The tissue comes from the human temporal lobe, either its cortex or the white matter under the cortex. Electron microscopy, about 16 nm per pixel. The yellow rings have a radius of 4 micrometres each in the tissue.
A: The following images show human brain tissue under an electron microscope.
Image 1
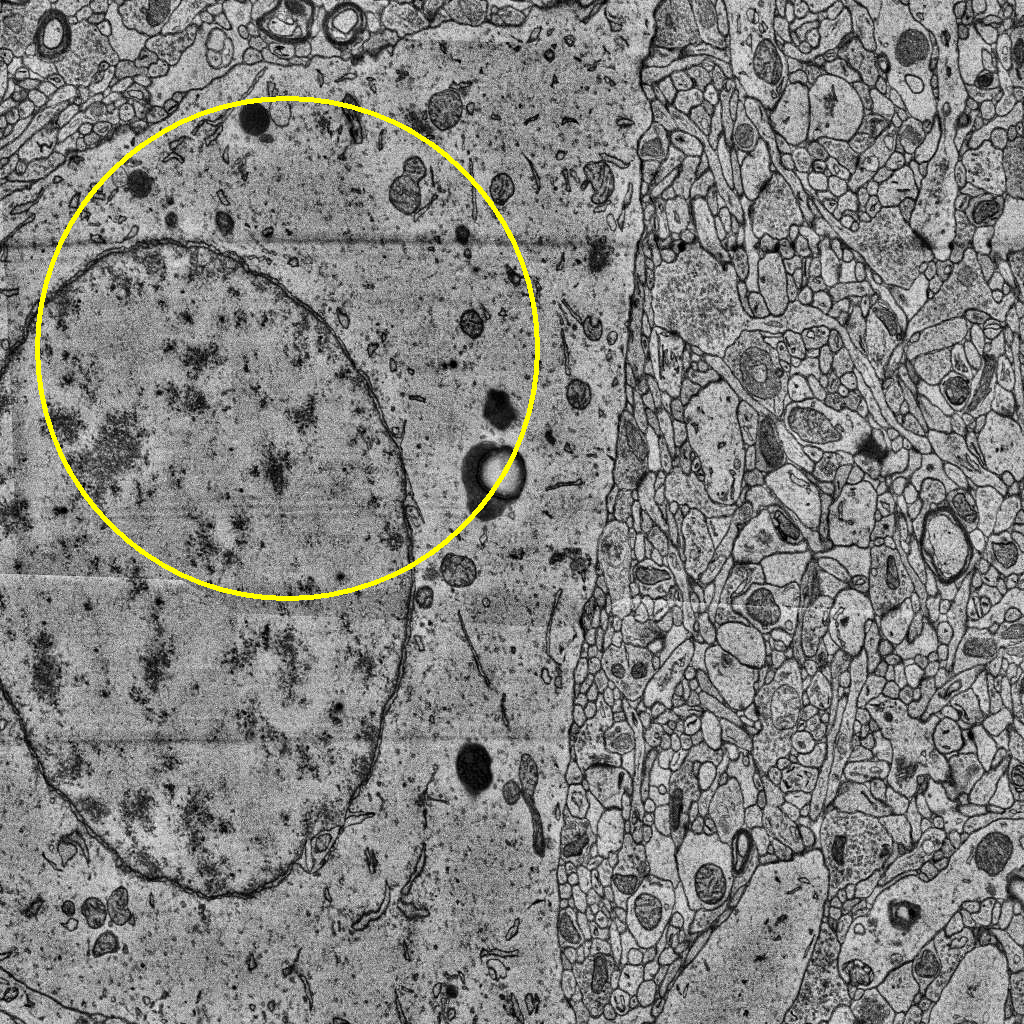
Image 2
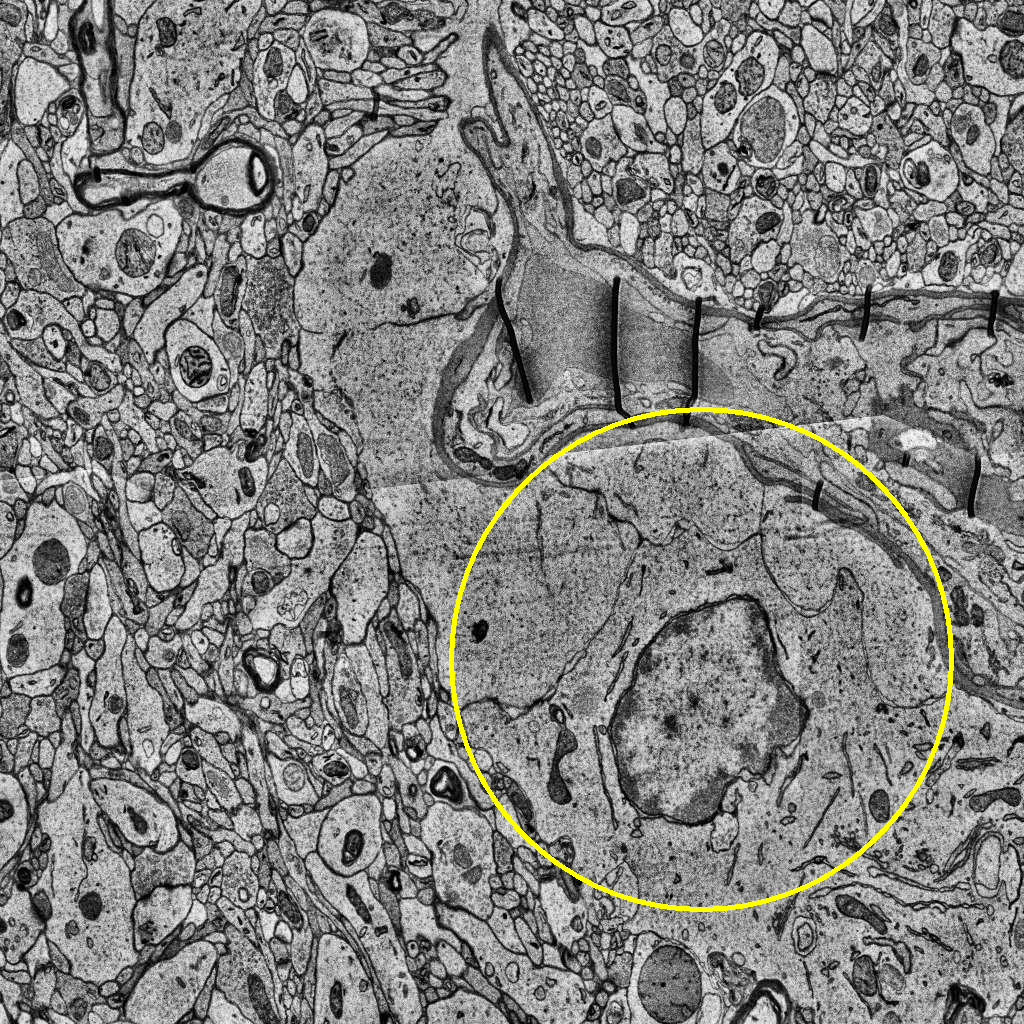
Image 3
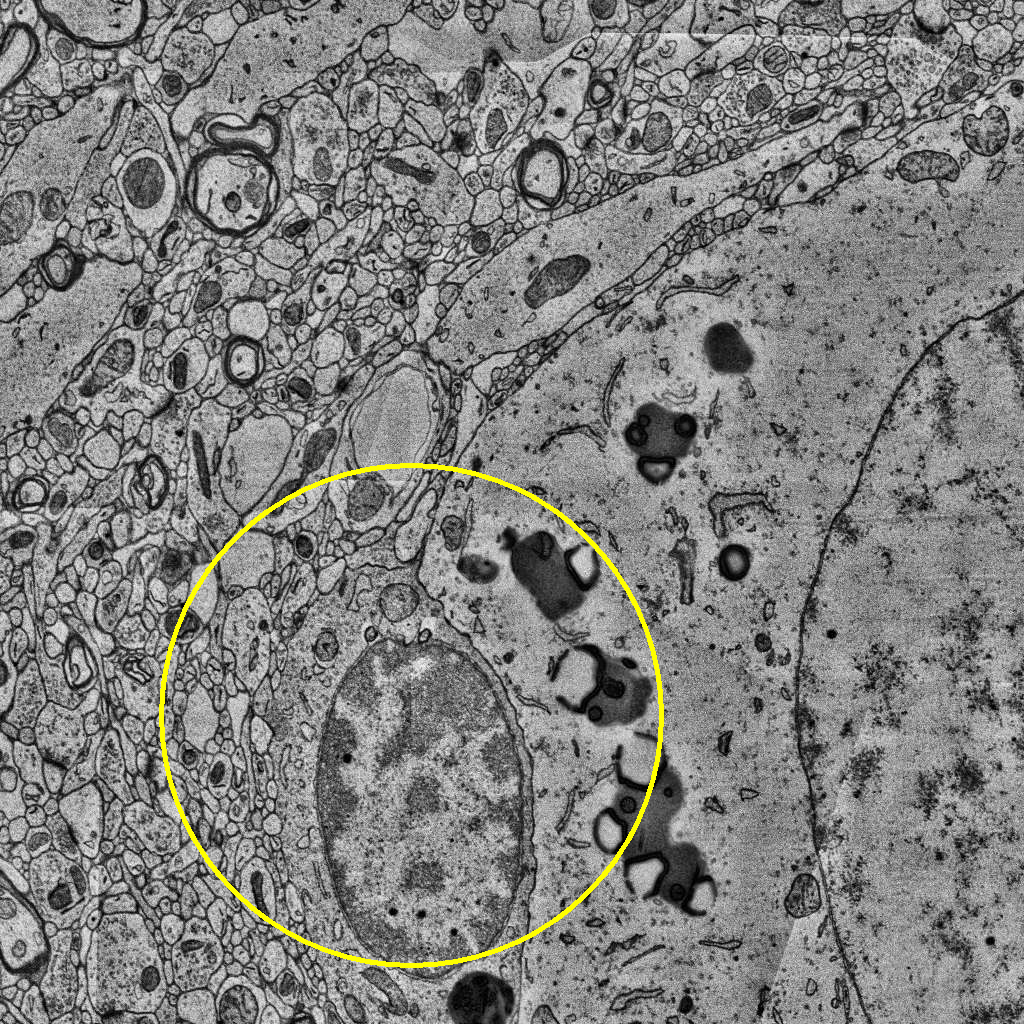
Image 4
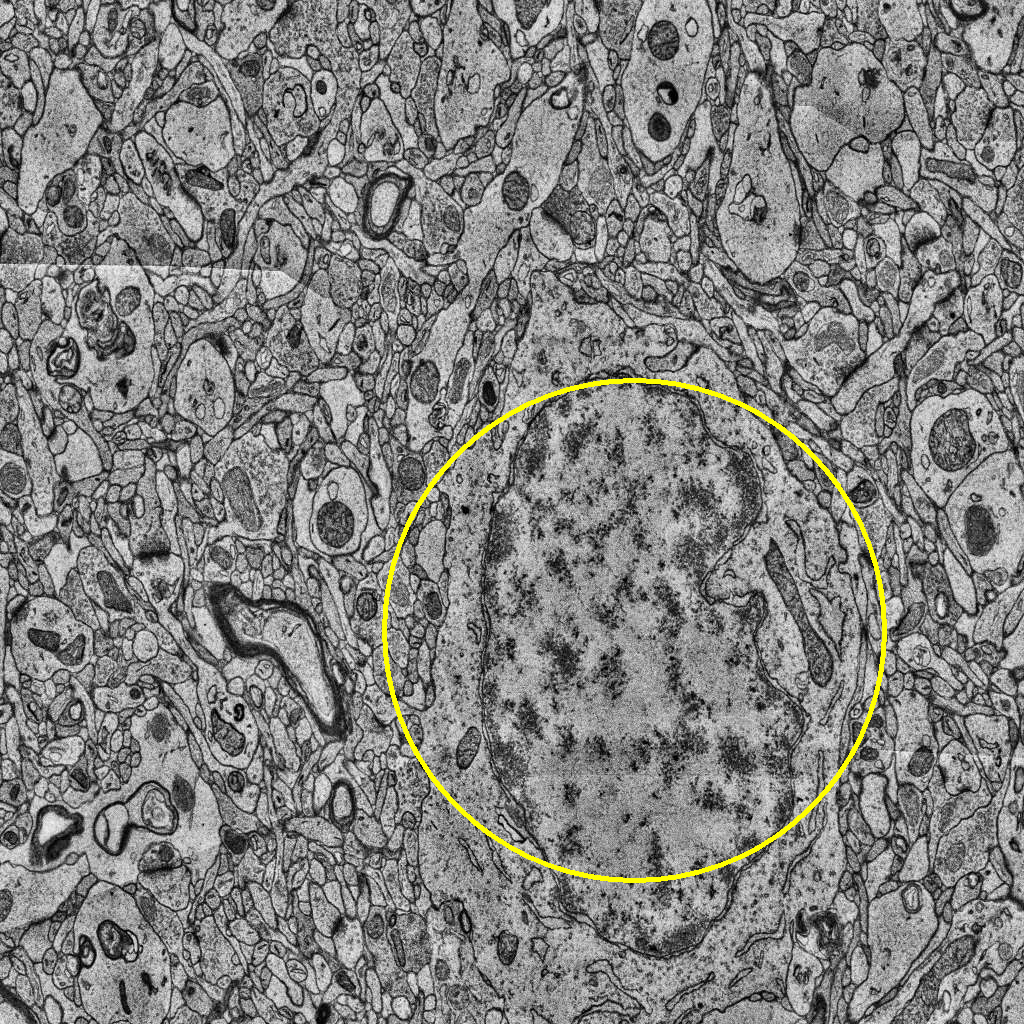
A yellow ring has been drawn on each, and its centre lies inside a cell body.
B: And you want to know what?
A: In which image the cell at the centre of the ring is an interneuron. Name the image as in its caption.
Image 4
